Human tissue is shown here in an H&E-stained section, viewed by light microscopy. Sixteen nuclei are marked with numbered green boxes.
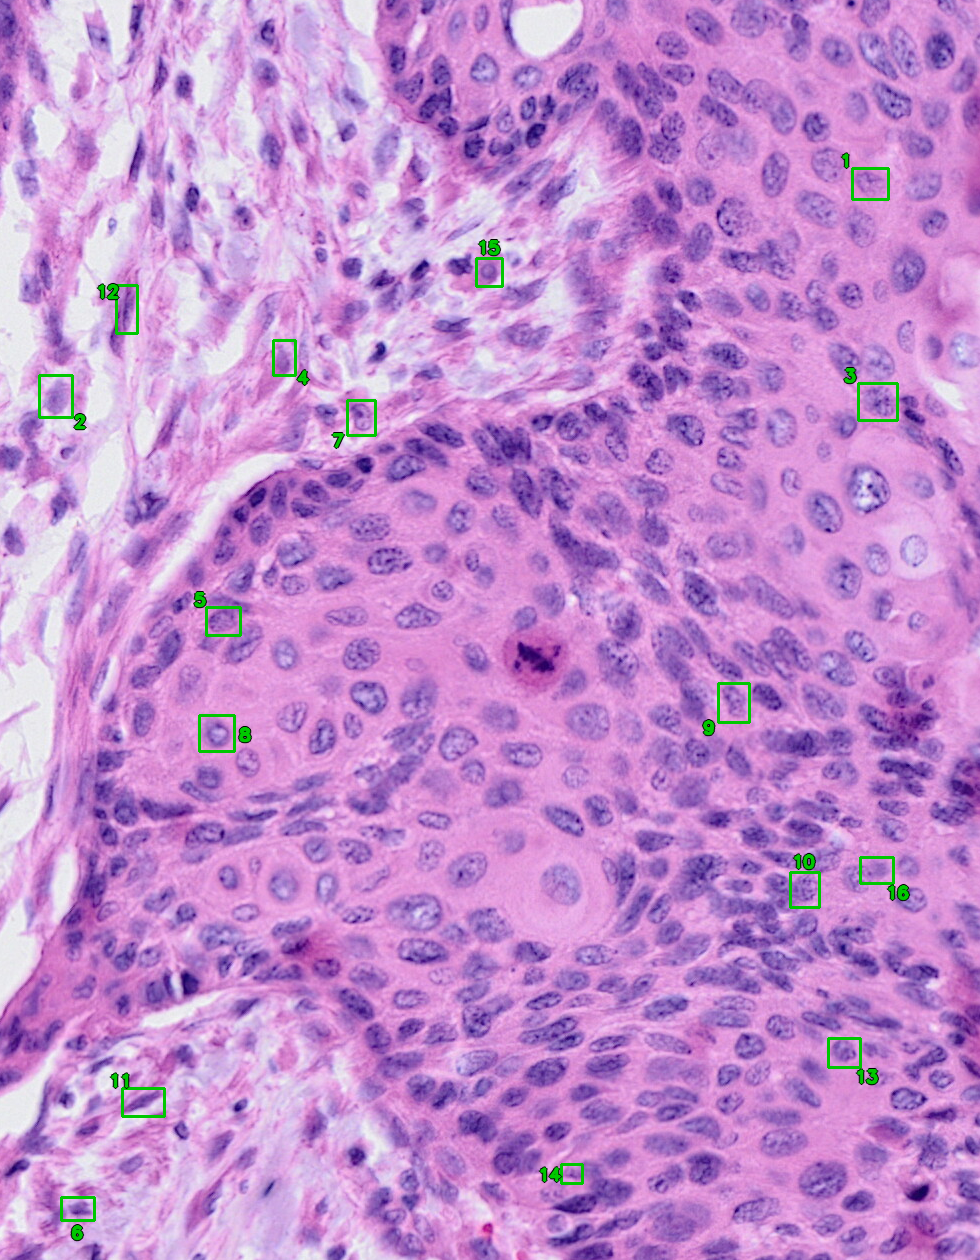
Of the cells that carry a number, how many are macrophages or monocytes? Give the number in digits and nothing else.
2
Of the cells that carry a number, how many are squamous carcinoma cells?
9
